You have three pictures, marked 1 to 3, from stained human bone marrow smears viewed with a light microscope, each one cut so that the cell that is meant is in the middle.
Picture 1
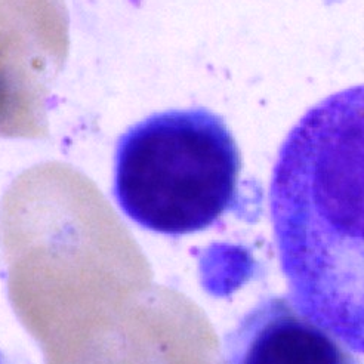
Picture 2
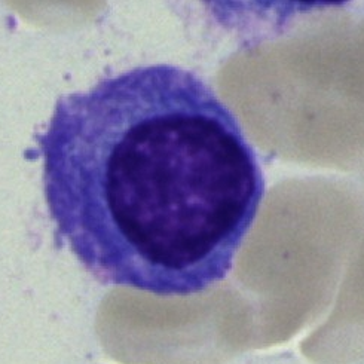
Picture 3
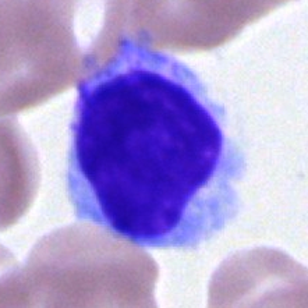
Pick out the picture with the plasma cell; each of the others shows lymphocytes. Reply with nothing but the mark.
2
